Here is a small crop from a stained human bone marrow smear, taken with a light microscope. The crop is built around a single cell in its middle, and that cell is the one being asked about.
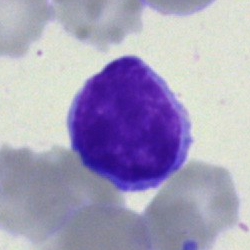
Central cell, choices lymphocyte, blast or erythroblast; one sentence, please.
The centrally located cell in the crop is a lymphocyte.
